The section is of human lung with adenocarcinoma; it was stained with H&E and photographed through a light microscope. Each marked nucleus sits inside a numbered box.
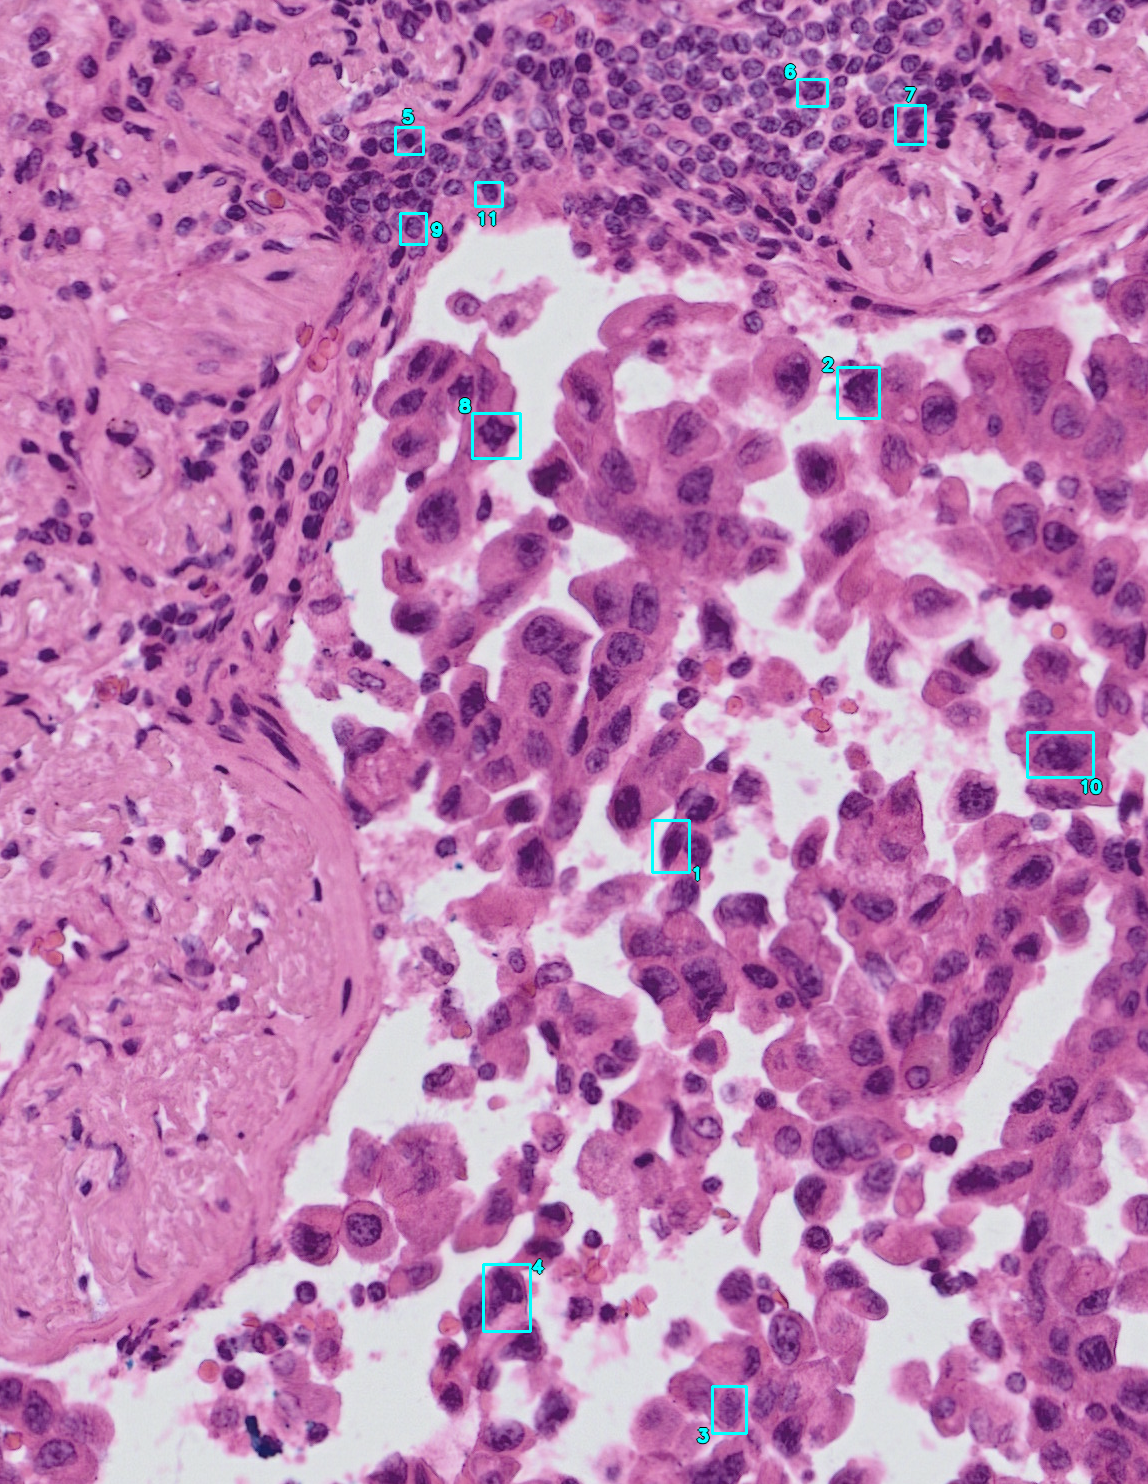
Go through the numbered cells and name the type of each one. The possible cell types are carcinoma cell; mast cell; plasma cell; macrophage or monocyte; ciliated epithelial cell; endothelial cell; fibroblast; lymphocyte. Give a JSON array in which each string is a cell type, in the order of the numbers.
["carcinoma cell", "carcinoma cell", "carcinoma cell", "carcinoma cell", "lymphocyte", "lymphocyte", "lymphocyte", "carcinoma cell", "lymphocyte", "carcinoma cell", "lymphocyte"]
